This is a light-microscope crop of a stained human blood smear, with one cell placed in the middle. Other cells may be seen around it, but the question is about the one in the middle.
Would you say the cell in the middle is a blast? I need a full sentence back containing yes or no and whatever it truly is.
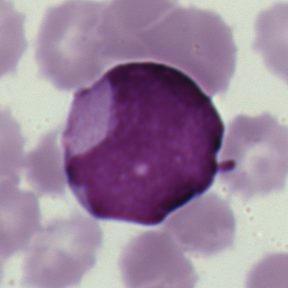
Yes, the cell in the middle of the view is a blast.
